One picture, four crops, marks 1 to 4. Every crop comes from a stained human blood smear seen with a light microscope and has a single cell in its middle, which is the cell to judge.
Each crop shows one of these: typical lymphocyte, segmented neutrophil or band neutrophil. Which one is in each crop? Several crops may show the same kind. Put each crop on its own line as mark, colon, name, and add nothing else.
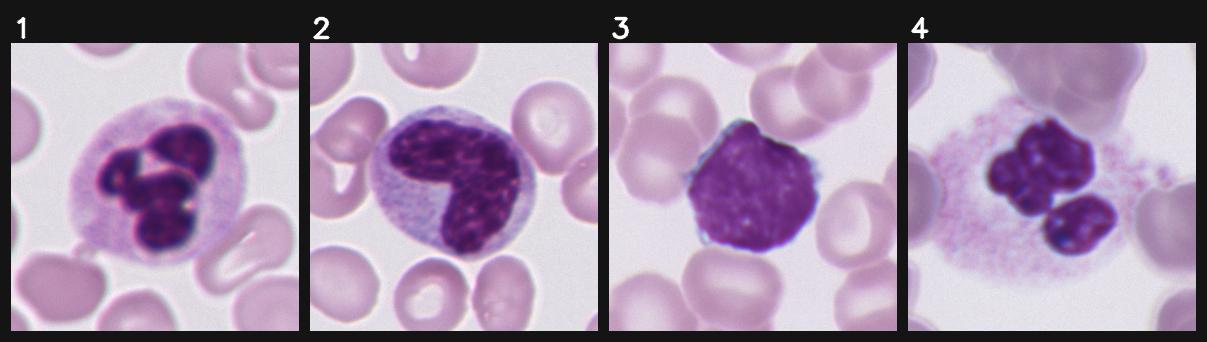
1: segmented neutrophil
2: band neutrophil
3: typical lymphocyte
4: segmented neutrophil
